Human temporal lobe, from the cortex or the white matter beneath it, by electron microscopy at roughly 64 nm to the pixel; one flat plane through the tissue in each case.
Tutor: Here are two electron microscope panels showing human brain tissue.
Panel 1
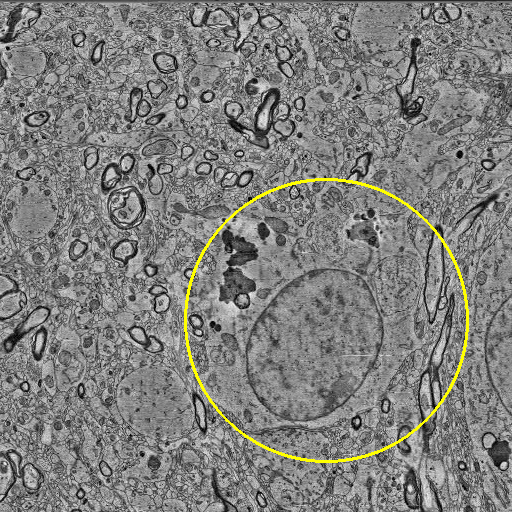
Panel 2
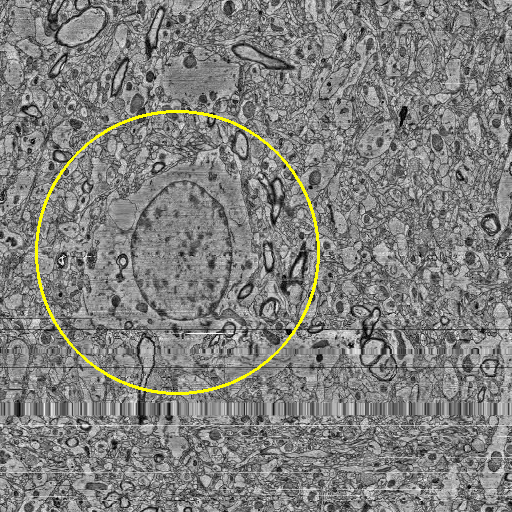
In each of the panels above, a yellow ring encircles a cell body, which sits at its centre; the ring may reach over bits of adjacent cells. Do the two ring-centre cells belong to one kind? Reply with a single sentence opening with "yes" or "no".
Yes, the two cells sitting at the ring centres in the panels belong to one kind.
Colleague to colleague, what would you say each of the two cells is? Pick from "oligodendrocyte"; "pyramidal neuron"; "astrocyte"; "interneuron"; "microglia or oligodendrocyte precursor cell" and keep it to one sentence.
The second cell is an astrocyte, just as the first is.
